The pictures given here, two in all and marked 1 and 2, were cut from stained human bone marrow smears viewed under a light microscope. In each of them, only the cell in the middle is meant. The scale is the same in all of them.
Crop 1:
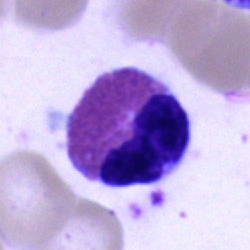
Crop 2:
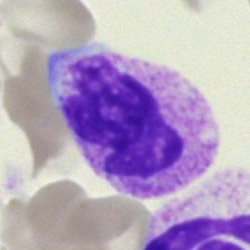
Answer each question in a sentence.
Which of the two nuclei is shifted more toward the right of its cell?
It is the nucleus in crop 1 that lies further toward the right of its cell.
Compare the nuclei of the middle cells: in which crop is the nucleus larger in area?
Crop 2 shows the larger nucleus; it covers about 2 times the area of the nucleus in crop 1.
